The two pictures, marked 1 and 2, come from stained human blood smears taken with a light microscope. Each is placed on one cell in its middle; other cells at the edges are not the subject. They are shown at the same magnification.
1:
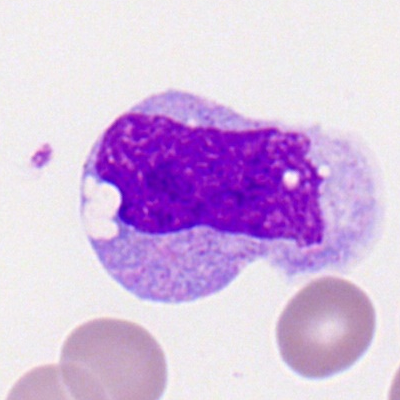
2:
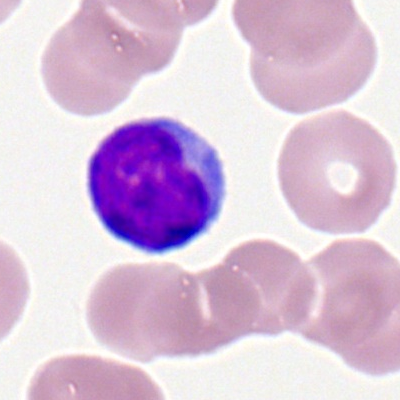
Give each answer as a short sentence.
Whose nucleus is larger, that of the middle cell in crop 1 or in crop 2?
Crop 1 shows the larger nucleus; it covers about 2 times the area of the nucleus in crop 2.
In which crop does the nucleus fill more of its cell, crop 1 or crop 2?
It is the cell in crop 2 that is filled more by its nucleus.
